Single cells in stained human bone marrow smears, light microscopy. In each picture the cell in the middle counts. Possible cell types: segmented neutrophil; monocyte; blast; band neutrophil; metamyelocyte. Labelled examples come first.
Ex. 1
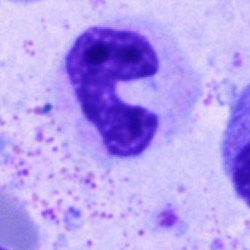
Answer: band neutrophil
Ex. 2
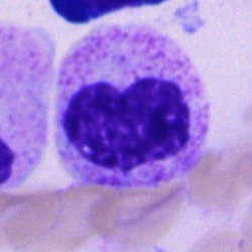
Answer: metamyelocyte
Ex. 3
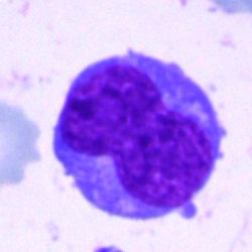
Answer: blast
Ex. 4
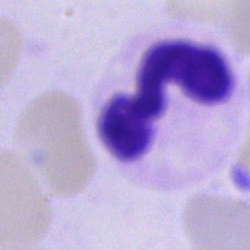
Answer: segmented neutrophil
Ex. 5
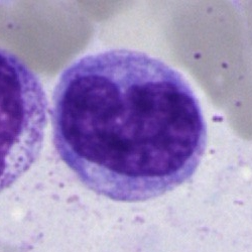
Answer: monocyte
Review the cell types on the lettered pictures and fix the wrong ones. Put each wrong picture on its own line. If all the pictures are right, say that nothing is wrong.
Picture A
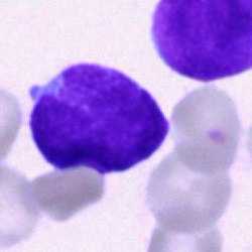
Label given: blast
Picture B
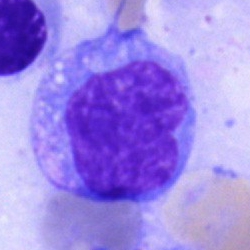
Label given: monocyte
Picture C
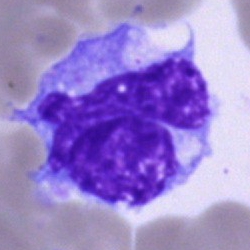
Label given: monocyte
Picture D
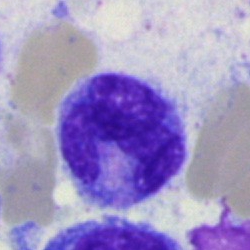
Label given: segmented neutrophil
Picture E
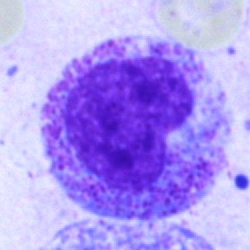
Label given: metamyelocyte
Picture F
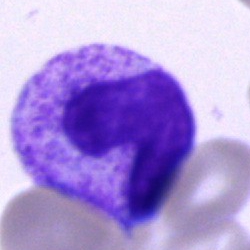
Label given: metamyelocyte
D is labelled segmented neutrophil; correct label: monocyte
